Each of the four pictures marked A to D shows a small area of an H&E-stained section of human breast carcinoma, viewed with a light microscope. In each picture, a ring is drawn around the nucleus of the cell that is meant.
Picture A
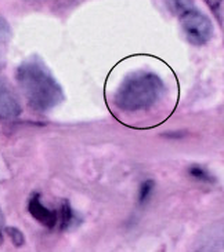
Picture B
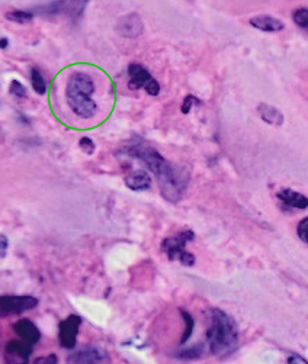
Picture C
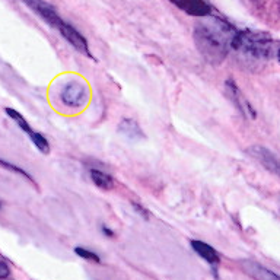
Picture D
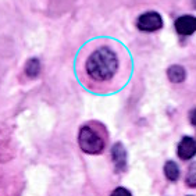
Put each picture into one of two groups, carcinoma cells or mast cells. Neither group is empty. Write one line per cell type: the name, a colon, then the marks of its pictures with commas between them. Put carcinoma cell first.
carcinoma cell: A
mast cell: B, C, D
